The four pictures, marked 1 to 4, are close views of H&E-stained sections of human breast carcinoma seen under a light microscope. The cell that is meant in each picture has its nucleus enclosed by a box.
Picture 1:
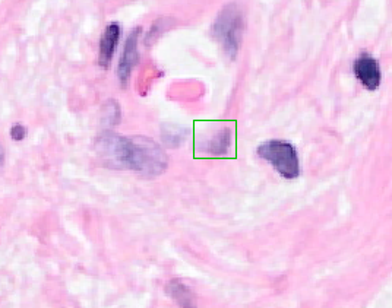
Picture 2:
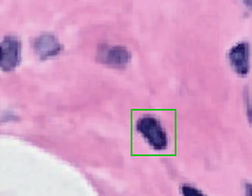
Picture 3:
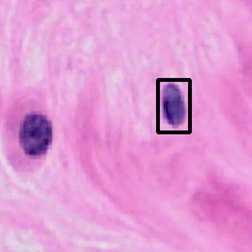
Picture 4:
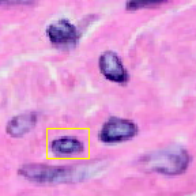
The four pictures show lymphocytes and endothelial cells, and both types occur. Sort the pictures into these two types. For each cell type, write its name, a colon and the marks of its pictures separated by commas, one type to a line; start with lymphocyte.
lymphocyte: 2, 3
endothelial cell: 1, 4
